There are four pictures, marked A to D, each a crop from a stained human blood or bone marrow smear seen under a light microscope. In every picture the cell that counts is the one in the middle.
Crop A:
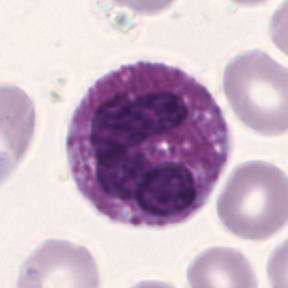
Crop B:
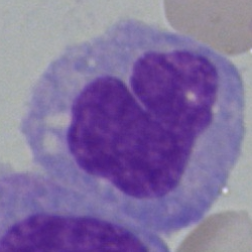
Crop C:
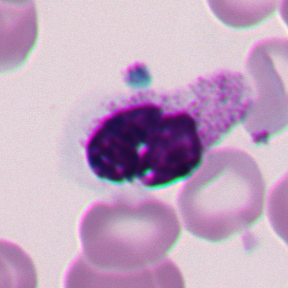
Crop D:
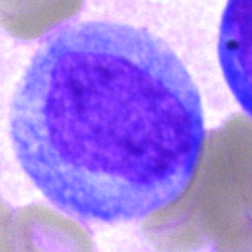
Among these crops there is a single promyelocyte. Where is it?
D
